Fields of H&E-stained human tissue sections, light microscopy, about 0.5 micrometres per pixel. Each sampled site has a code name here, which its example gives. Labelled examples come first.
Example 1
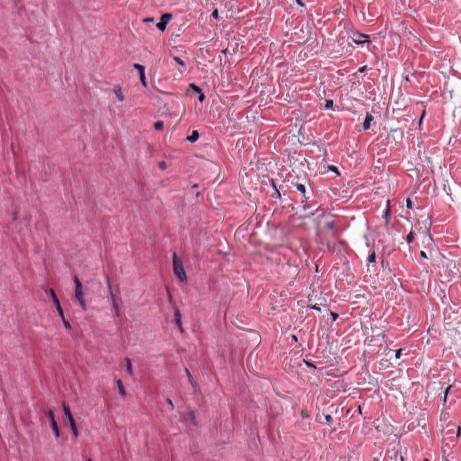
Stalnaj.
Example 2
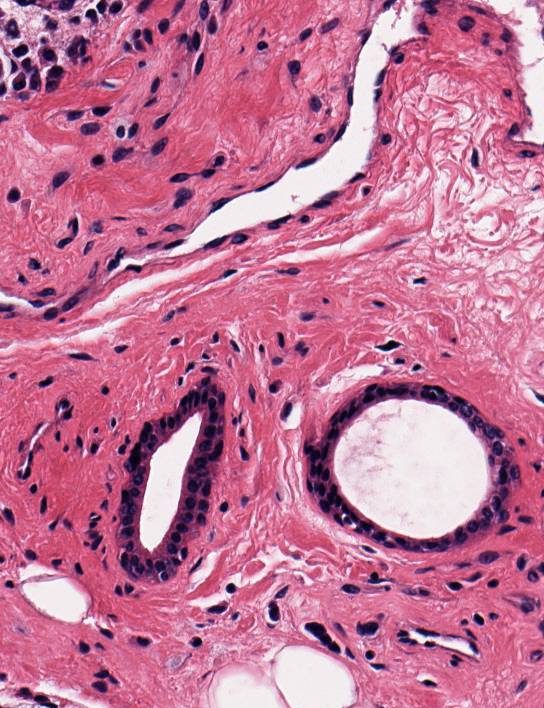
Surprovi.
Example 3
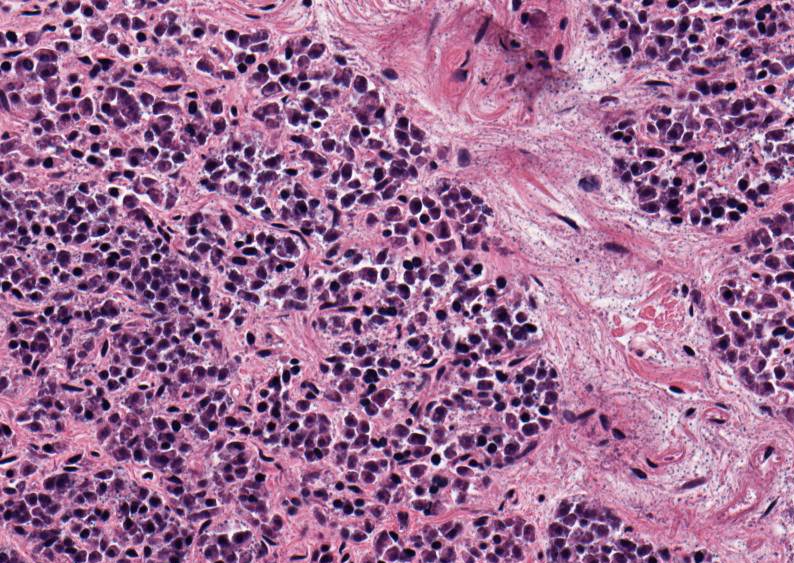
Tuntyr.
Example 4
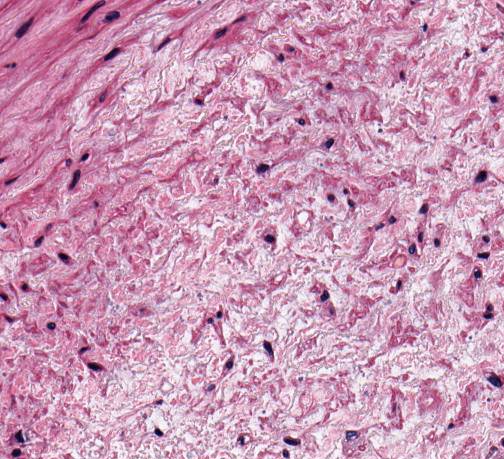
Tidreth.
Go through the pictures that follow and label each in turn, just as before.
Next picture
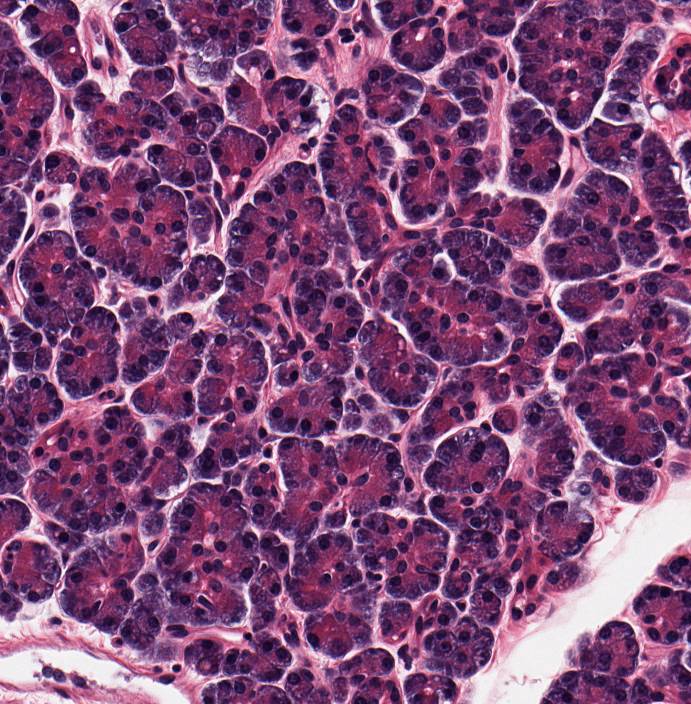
Tuntyr.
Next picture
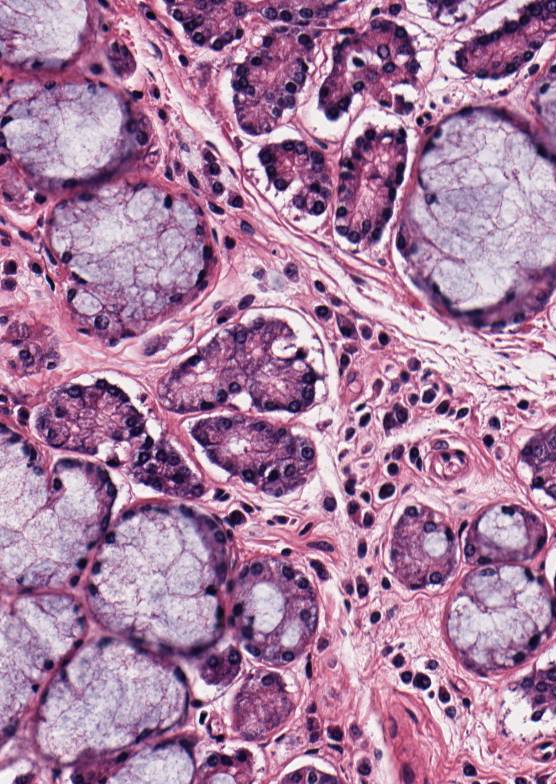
Surprovi.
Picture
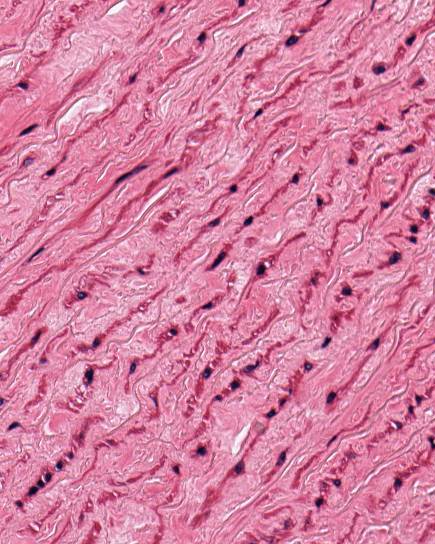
Tidreth.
